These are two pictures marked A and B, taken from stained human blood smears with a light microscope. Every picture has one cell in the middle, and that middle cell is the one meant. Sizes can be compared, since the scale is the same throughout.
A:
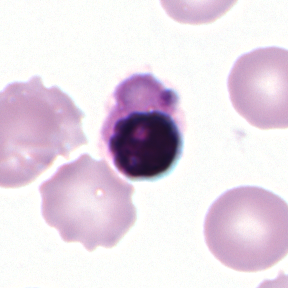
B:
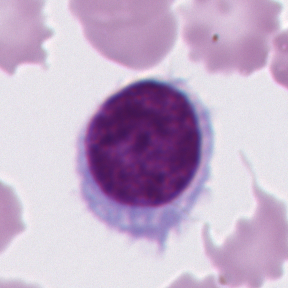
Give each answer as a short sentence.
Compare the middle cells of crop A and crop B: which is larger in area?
It is the cell in crop B, about 2.5 times as large in area as the cell in crop A.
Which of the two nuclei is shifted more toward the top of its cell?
The nucleus in crop B lies further toward the top of its cell.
